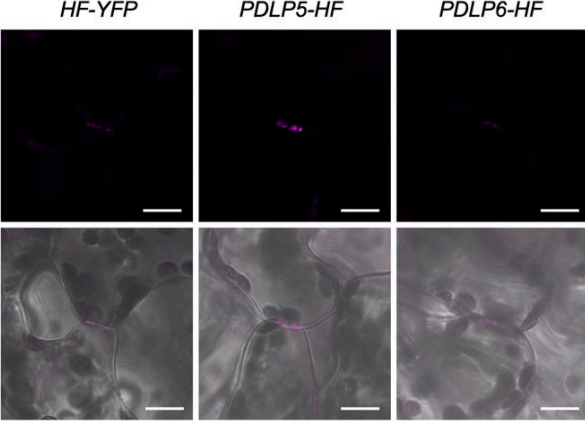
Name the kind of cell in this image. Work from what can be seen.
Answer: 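Mesophyll cells. Large rounded cells with smooth walls. Many small dark oval bodies like chloroplasts line the cells.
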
